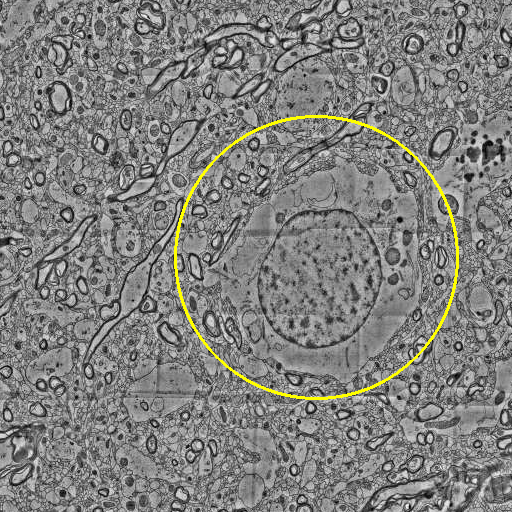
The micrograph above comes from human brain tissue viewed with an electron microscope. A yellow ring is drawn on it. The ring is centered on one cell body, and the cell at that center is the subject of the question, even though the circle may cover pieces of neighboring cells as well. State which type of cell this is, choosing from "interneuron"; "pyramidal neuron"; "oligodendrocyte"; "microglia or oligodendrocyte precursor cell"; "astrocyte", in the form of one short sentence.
The cell the ring is centered on is an astrocyte.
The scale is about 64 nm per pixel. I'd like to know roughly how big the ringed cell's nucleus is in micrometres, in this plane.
The nucleus works out at approximately 9 by 8 micrometres in this plane.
